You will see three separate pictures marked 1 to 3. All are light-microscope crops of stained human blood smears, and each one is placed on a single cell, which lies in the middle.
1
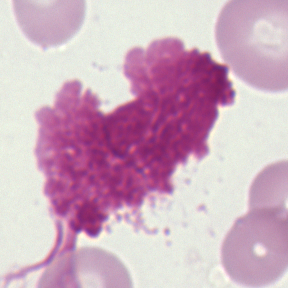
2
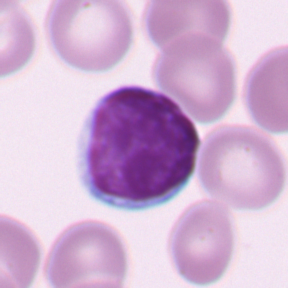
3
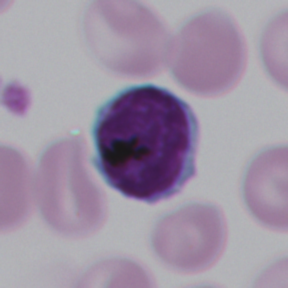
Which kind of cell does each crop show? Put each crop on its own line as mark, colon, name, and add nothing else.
1: smudge cell
2: typical lymphocyte
3: typical lymphocyte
